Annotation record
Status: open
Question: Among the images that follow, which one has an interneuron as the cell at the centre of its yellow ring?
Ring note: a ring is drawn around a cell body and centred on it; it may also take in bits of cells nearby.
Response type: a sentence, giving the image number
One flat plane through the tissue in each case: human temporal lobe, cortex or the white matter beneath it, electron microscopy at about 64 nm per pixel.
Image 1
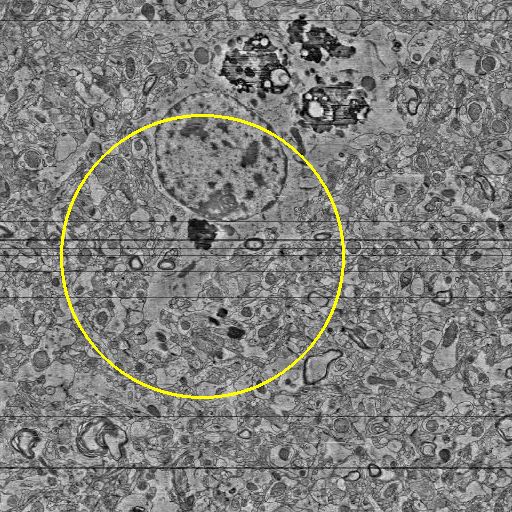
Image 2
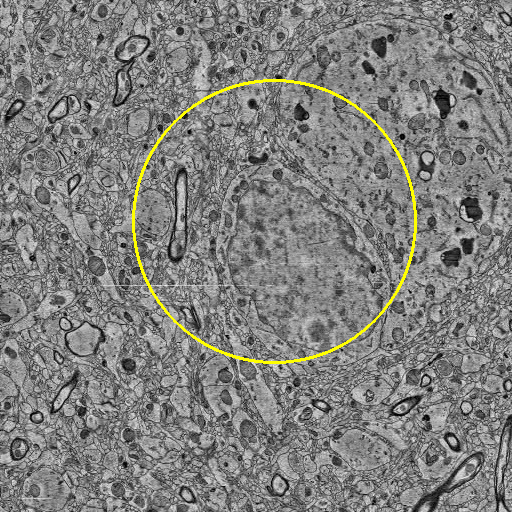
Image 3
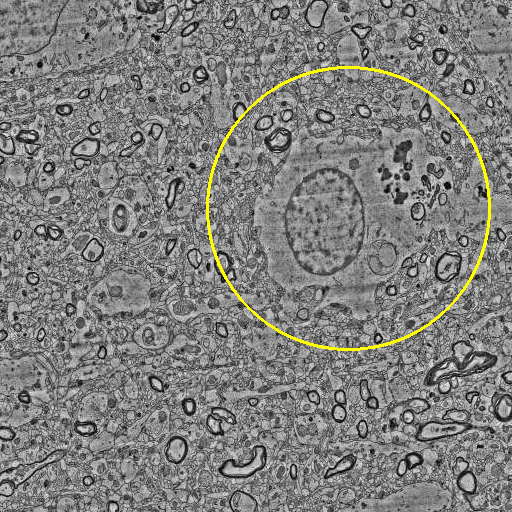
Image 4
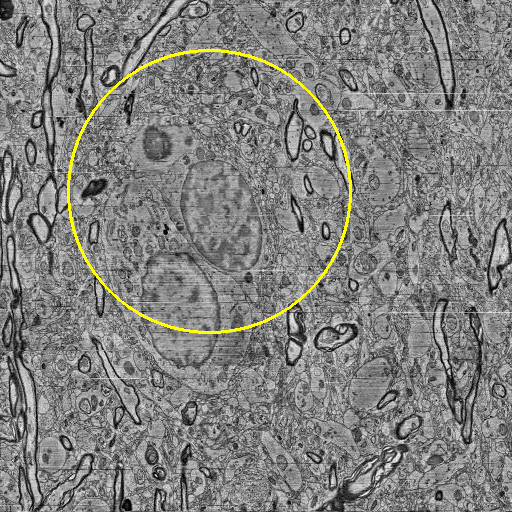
Image 2 shows it at the centre of its ring.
